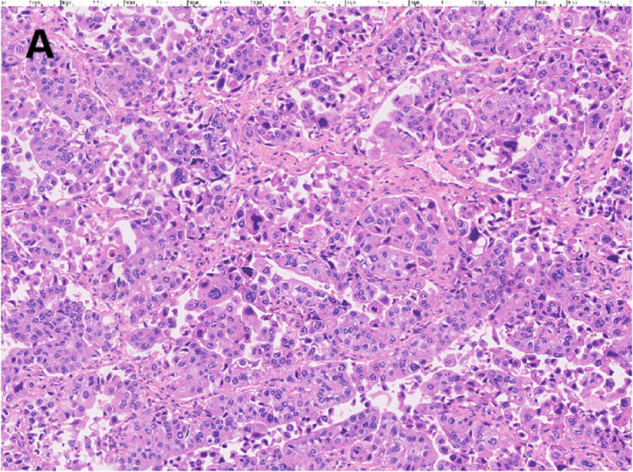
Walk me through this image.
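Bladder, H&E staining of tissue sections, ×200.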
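This is a high-grade invasive urothelial carcinoma, a malignant epithelial tumour growing as solid nests, cords and sheets of tumour cells. Thin bands of pink fibrous stroma with small vessels run between the nests, dividing the tumour into irregular lobules. The tumour cells are polygonal with moderate amounts of pink to pale cytoplasm and fairly distinct borders. Their nuclei are enlarged and vary markedly in size and shape; many are vesicular with visible nucleoli, and scattered cells have very large, dark, bizarre nuclei. Some nests show loosening with small clefts between cells. No orderly layering of a normal lining remains.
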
